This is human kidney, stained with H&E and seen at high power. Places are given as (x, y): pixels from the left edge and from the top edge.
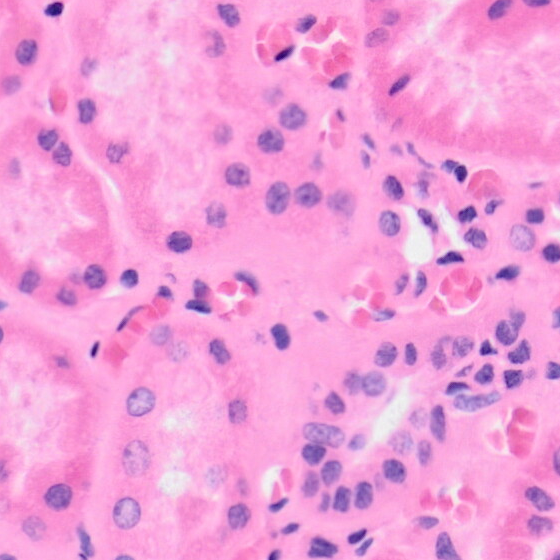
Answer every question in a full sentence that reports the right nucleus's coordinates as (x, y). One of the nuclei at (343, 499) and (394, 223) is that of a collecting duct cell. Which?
Assigned to a collecting duct cell is the nucleus located at (343, 499).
